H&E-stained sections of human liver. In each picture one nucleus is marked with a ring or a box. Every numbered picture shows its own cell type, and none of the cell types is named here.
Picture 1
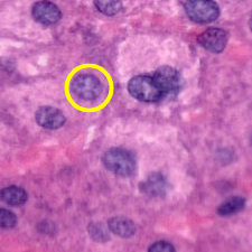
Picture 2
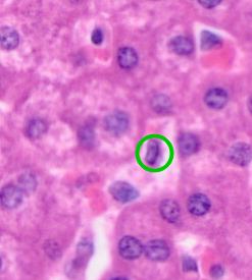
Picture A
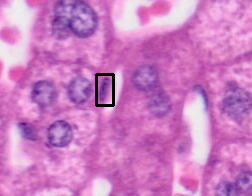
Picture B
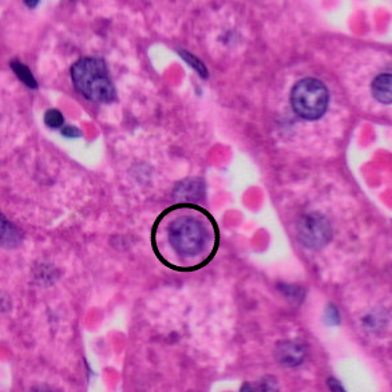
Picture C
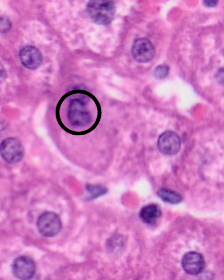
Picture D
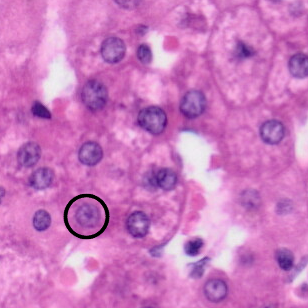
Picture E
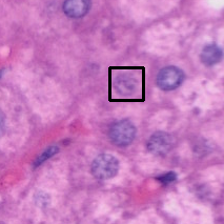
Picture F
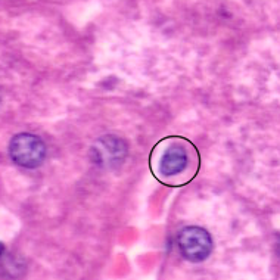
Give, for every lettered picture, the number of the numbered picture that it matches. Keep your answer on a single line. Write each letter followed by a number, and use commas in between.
A 2, B 1, C 1, D 1, E 1, F 2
